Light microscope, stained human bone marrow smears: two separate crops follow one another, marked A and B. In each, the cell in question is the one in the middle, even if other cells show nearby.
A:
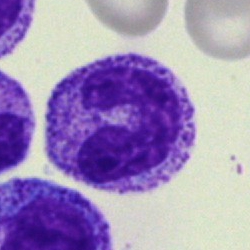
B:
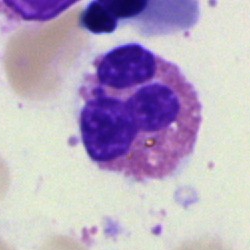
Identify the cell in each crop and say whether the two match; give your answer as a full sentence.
No, crop B holds an eosinophil, while crop A holds a band neutrophil.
